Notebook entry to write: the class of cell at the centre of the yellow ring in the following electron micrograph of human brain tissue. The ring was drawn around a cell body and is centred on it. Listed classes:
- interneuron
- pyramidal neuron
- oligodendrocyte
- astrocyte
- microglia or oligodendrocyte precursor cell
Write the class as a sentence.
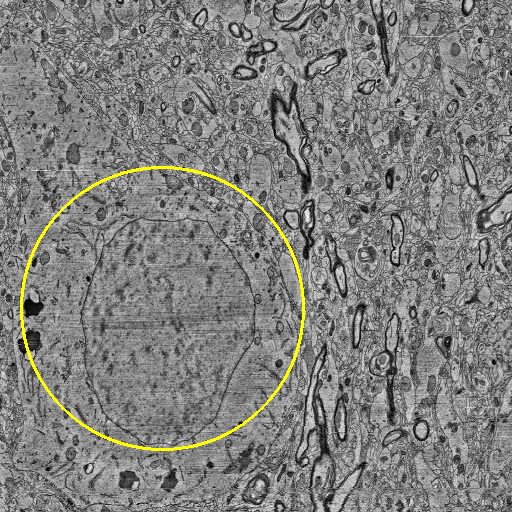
The yellow ring sits on a pyramidal neuron.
